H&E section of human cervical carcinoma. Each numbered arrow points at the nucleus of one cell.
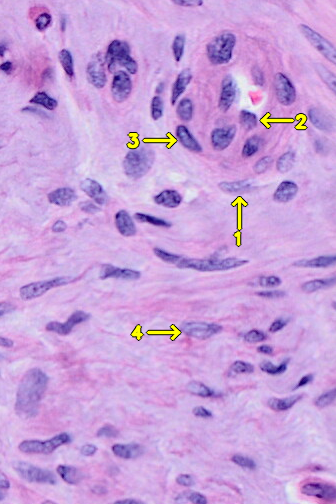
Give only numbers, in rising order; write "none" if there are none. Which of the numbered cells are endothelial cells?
2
